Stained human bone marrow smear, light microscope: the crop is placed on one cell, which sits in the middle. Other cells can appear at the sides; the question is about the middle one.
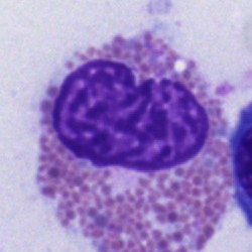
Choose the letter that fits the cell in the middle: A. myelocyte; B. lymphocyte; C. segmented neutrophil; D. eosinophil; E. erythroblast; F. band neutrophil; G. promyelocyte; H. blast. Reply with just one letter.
D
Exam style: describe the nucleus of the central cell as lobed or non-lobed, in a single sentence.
Just one compact nuclear mass here, round, oval or kidney-shaped.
